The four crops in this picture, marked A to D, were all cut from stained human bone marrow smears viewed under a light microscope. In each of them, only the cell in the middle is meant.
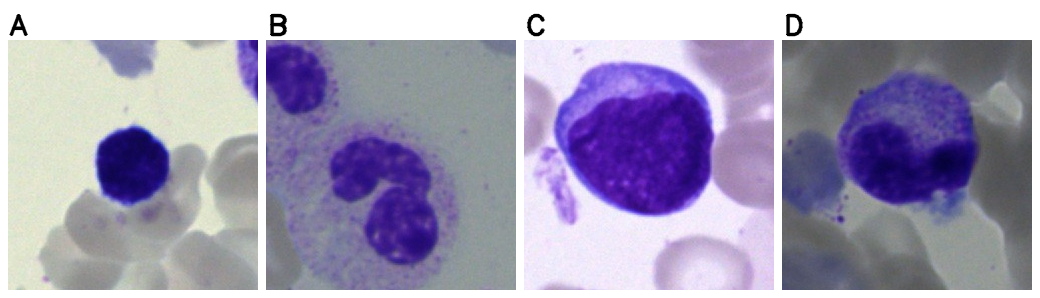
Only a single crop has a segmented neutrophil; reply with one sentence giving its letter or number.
In the set of crops, crop B is the one that contains a segmented neutrophil.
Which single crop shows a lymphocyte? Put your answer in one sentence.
The crop showing a lymphocyte in this series is crop A.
